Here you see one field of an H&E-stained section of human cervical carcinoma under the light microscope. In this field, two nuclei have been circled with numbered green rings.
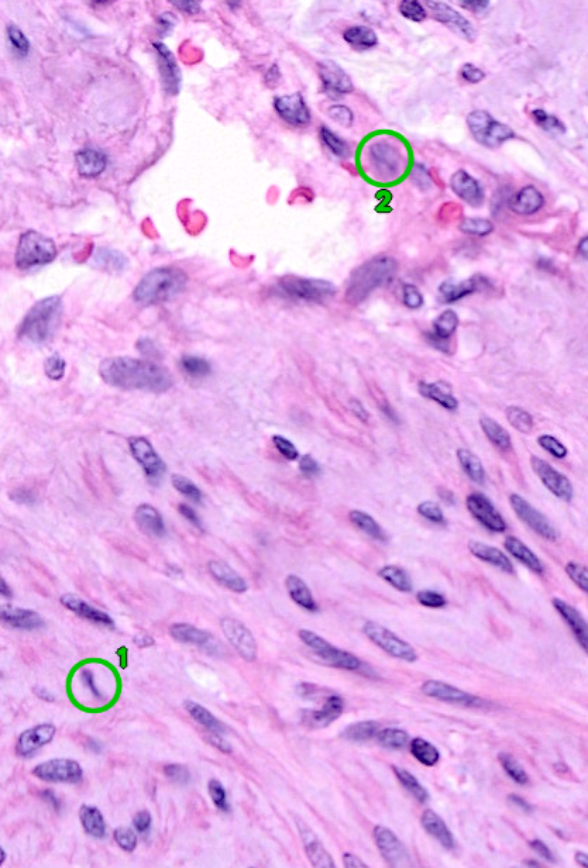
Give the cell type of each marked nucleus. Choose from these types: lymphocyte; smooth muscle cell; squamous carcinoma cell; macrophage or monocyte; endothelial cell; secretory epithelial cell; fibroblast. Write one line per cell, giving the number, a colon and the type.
1: smooth muscle cell
2: endothelial cell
